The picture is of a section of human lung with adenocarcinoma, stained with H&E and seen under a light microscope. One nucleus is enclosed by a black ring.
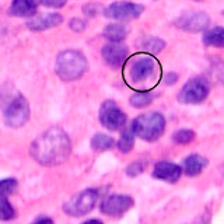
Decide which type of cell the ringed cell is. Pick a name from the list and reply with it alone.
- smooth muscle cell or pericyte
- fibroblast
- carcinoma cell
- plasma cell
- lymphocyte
lymphocyte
